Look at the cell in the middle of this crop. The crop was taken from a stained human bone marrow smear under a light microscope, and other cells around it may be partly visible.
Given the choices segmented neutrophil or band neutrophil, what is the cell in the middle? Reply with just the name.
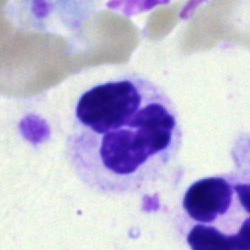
segmented neutrophil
